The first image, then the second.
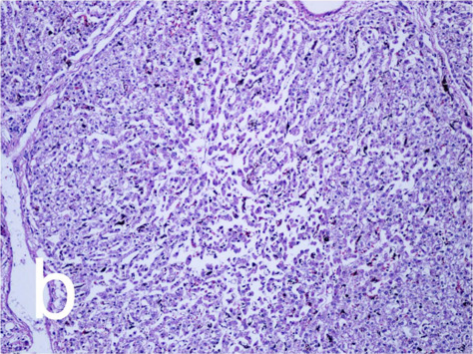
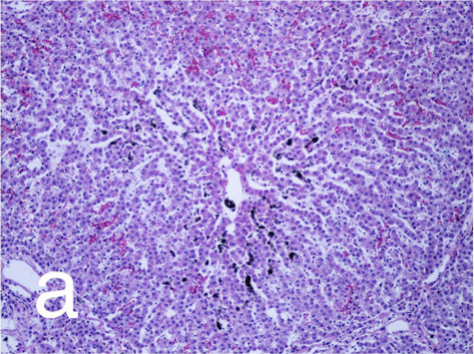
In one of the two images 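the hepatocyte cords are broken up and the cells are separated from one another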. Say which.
The first image.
